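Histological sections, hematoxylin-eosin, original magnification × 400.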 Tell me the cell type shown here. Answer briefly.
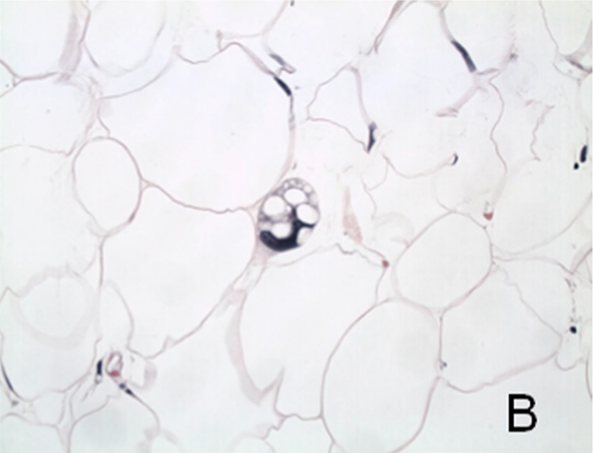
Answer: Lipoblast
